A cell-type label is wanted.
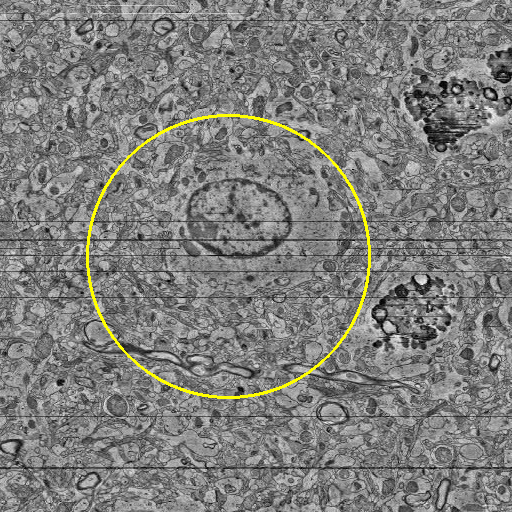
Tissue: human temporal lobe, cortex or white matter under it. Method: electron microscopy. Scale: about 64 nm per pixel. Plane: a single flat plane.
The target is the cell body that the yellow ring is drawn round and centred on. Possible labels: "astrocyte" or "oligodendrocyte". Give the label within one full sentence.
Of the labels offered, the cell in the middle of the yellow ring is an astrocyte.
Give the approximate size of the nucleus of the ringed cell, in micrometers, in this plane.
The nucleus of the ringed cell is approximately 7 by 5 micrometres in this plane.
